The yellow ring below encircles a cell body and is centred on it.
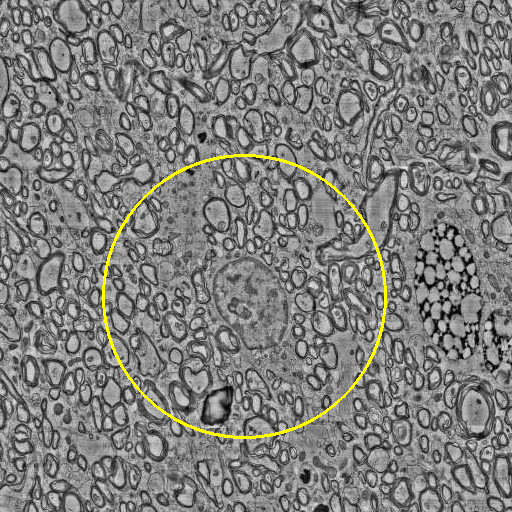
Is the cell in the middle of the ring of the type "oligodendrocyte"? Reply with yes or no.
yes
